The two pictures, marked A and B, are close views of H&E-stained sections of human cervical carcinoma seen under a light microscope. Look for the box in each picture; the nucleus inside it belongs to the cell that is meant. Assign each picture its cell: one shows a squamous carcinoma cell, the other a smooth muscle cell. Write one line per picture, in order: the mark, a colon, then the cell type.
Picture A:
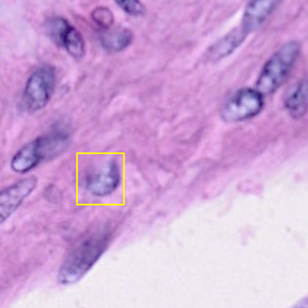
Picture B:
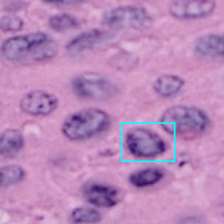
A: smooth muscle cell
B: squamous carcinoma cell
